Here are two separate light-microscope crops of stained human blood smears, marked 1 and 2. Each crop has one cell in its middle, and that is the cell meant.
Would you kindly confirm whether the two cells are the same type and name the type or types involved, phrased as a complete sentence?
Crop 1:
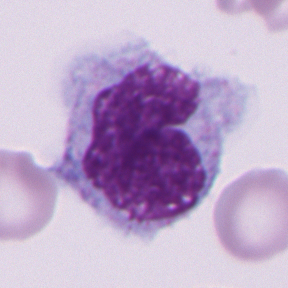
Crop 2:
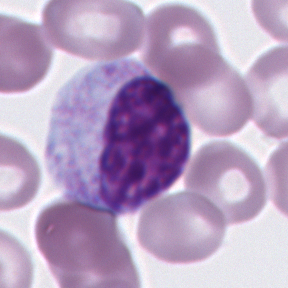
No, crop 1 shows a monocyte, whereas in crop 2 the cell is a metamyelocyte.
